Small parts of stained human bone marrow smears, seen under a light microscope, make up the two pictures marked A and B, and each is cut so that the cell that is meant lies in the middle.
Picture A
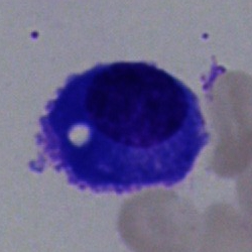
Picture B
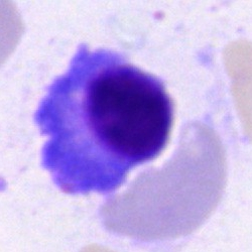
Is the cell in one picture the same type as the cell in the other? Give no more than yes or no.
yes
